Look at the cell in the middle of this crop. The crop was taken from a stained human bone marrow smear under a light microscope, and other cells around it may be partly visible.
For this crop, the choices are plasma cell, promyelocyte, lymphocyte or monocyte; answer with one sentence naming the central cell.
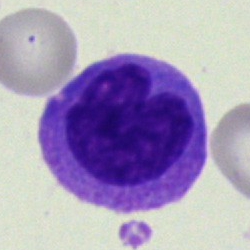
Standing at the centre of this crop is a monocyte.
